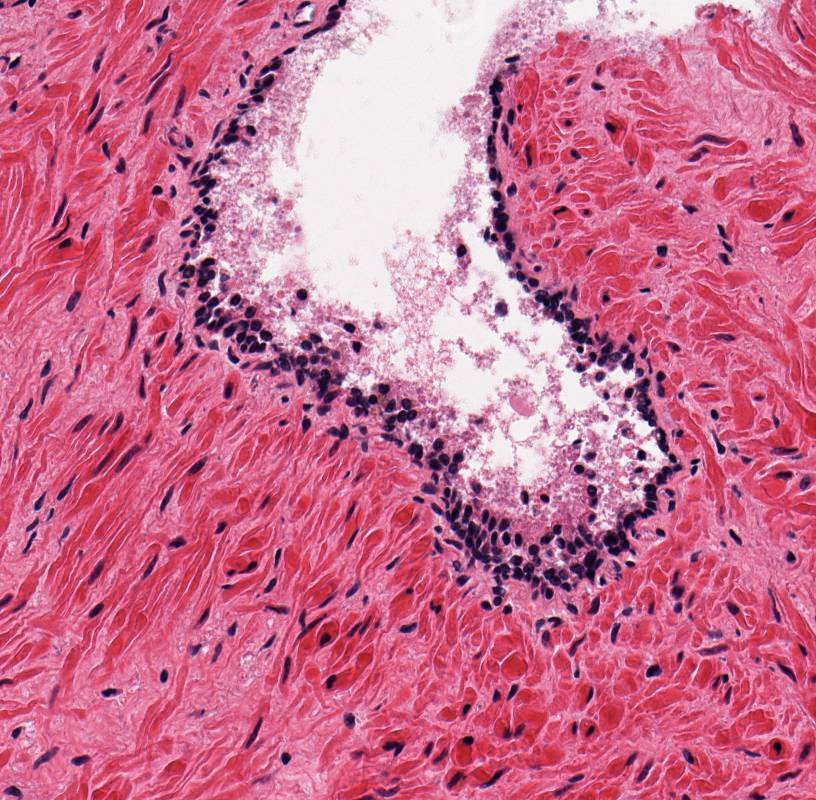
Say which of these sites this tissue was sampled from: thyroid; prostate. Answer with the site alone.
prostate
